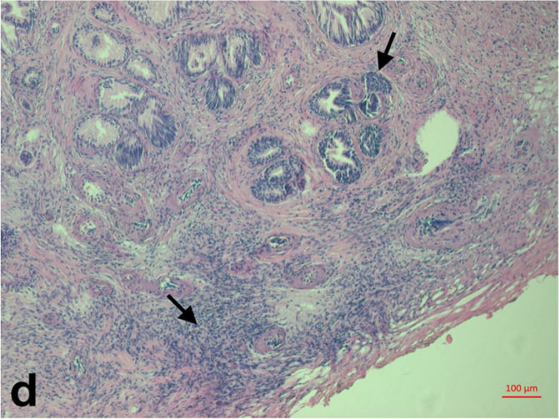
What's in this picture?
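Prostatic tissue with glands and stroma heavily infiltrated by inflammatory cells. In the upper part, glands lined by epithelium with crowded dark purple nuclei sit in pink fibromuscular stroma. In the lower part, a large confluent sheet of small, round, dark-staining inflammatory cells fills the stroma and surrounds small vessels. The pink stroma is largely obscured where the infiltrate is densest.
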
